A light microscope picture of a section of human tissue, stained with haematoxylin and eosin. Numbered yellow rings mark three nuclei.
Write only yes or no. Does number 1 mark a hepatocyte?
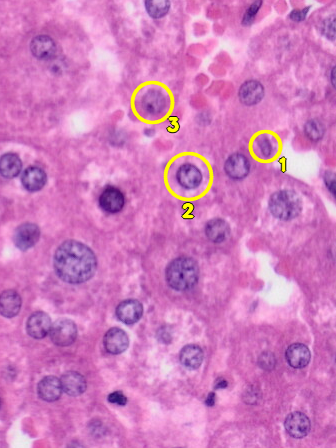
no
